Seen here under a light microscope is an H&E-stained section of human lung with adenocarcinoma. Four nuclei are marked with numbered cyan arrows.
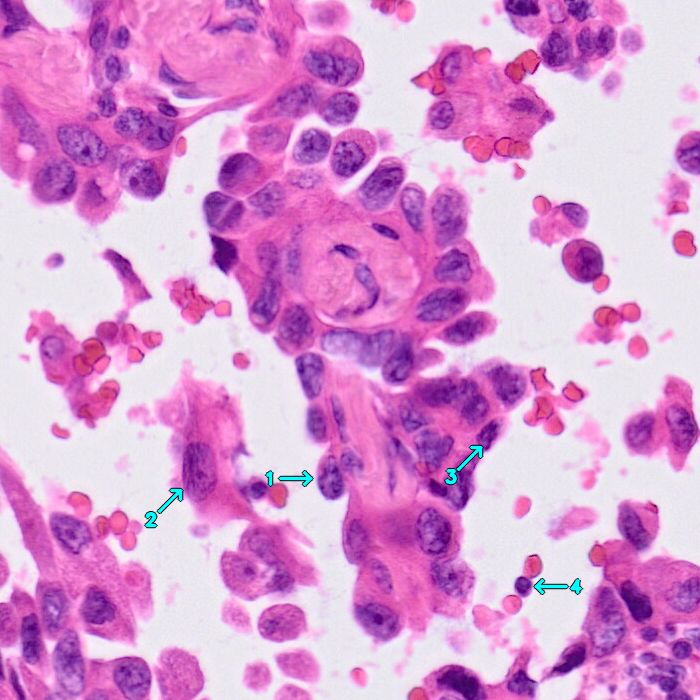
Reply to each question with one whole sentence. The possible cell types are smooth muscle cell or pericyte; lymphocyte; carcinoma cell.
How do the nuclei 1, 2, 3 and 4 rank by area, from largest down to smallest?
From largest to smallest, the order is 2, 1, 3, 4.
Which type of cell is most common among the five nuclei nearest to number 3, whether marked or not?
Around number 3, most of the five nearest nuclei are those of carcinoma cells.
